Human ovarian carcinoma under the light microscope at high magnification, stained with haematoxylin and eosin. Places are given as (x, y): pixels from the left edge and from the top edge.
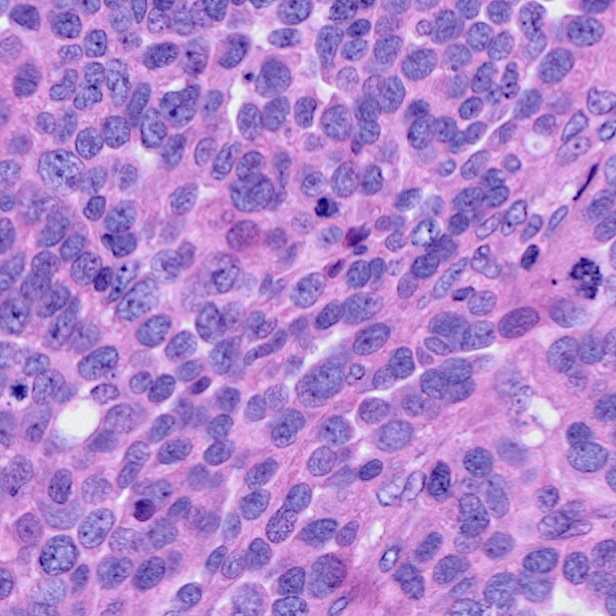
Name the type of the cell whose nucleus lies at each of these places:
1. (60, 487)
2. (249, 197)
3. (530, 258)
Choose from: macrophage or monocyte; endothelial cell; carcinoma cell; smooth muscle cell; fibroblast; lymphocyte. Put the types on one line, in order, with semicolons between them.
carcinoma cell; carcinoma cell; lymphocyte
